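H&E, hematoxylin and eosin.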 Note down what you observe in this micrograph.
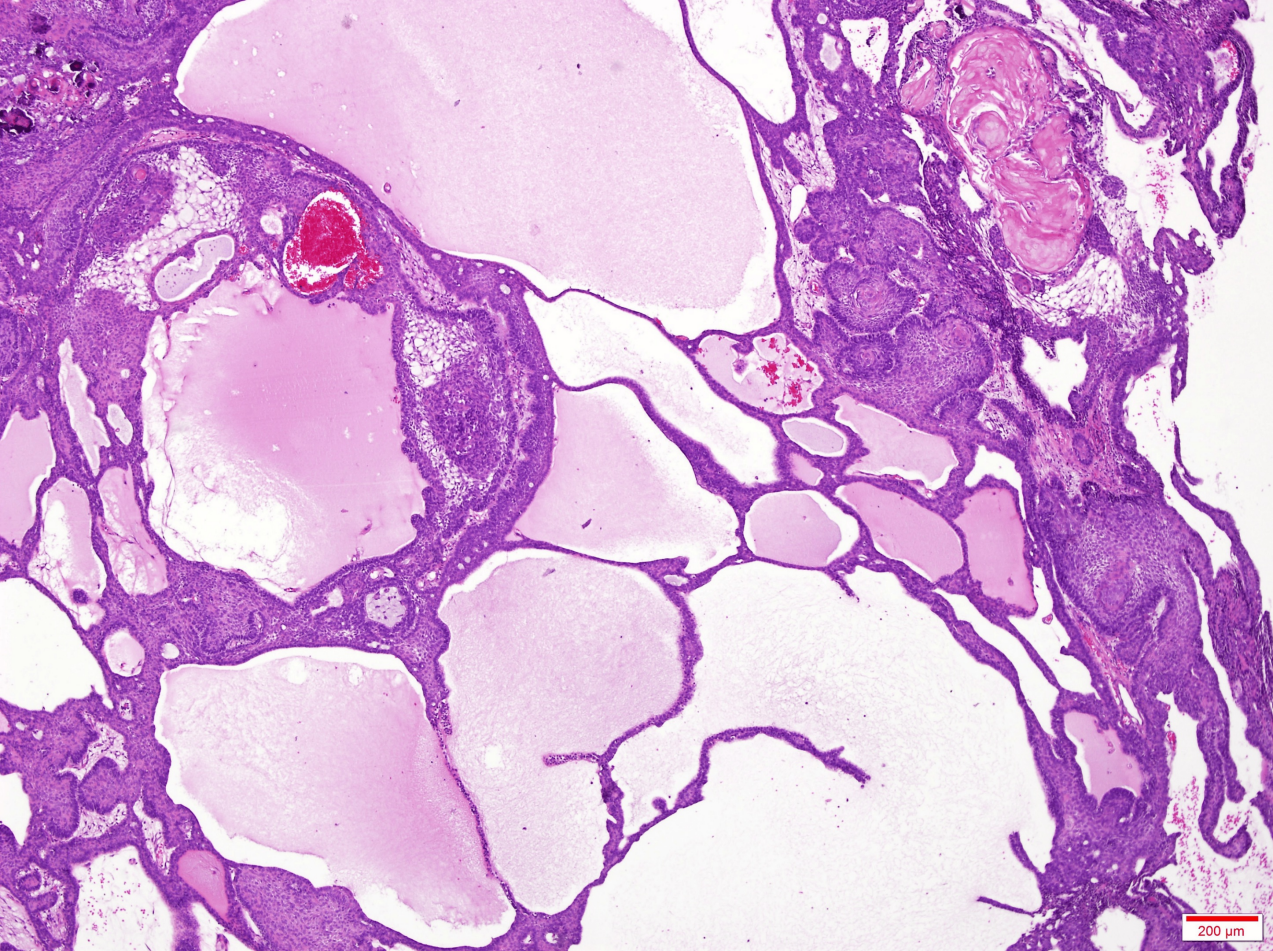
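This section shows an epithelial tumor made of solid epithelial nests mixed with many cysts. The cysts vary from small to very large, are rounded or angular, and contain pale pink, homogeneous proteinaceous material, in places slightly flocculent. The cysts are separated by thin septa of purple-staining epithelium. The solid areas are dense purple epithelial nests, some with loose, pale, vacuolated zones between more compact cell layers. At the upper right a pink, lamellated nodule of keratin-like material lies within the epithelium. A vessel filled with red blood cells is seen at the upper left of center.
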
